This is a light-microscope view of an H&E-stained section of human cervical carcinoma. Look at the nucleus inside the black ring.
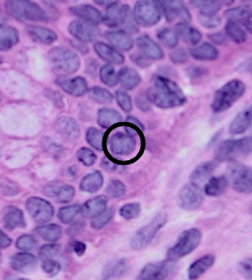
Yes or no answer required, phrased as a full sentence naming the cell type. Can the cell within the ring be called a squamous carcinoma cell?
No, the cell within the ring is recorded as a secretory epithelial cell instead of a squamous carcinoma cell.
